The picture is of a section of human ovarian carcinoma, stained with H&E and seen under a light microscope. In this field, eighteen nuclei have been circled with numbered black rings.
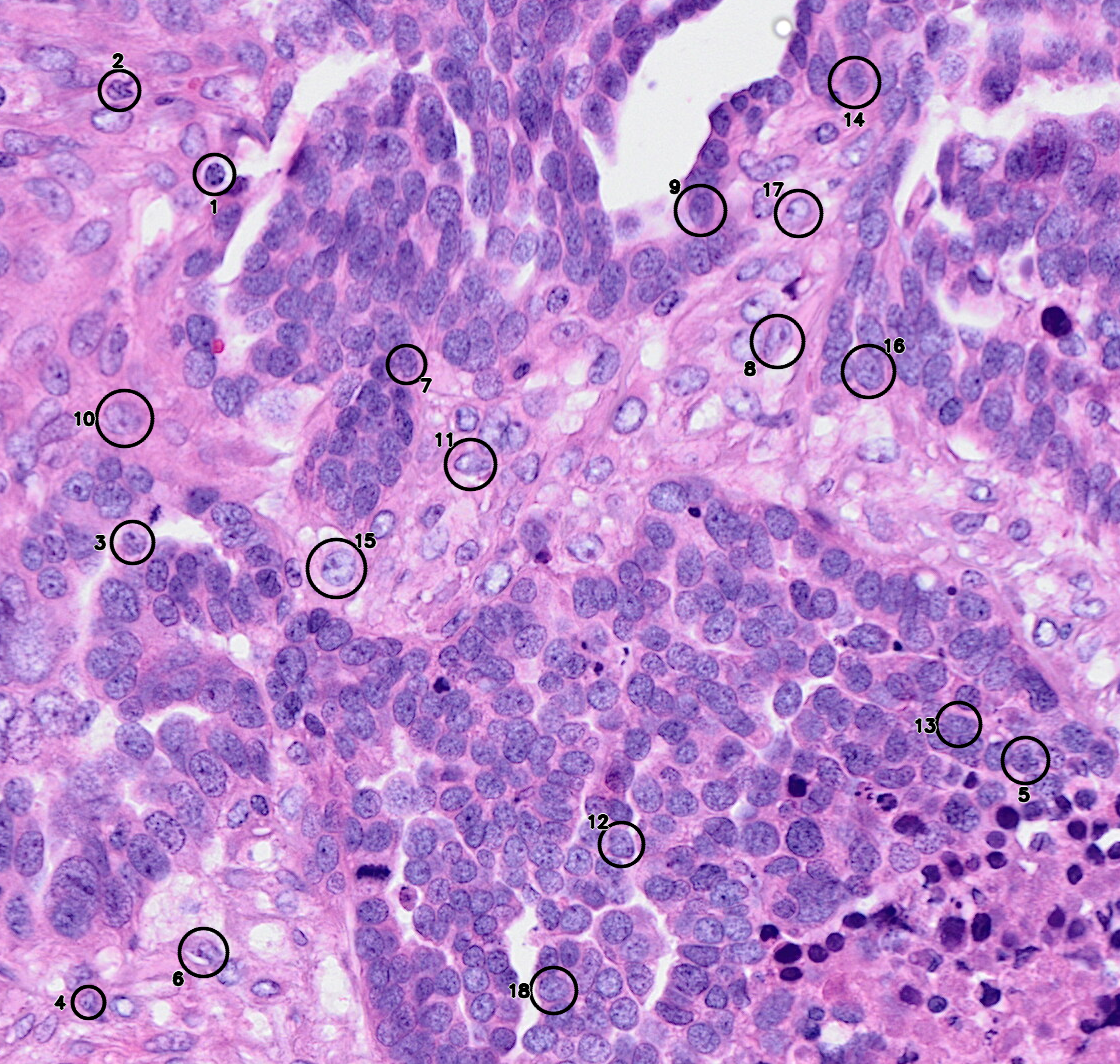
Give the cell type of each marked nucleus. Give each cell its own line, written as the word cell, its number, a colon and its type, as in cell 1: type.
cell 1: lymphocyte
cell 2: macrophage or monocyte
cell 3: macrophage or monocyte
cell 4: fibroblast
cell 5: carcinoma cell
cell 6: fibroblast
cell 7: carcinoma cell
cell 8: fibroblast
cell 9: carcinoma cell
cell 10: fibroblast
cell 11: fibroblast
cell 12: carcinoma cell
cell 13: carcinoma cell
cell 14: carcinoma cell
cell 15: fibroblast
cell 16: carcinoma cell
cell 17: fibroblast
cell 18: carcinoma cell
